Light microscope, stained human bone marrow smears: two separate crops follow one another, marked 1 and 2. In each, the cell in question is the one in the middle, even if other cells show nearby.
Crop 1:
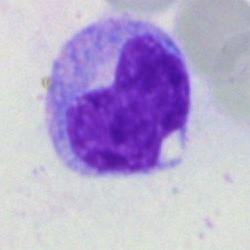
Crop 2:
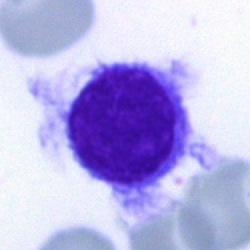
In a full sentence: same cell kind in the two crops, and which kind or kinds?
No, a monocyte is depicted by crop 1, a hairy cell by crop 2.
